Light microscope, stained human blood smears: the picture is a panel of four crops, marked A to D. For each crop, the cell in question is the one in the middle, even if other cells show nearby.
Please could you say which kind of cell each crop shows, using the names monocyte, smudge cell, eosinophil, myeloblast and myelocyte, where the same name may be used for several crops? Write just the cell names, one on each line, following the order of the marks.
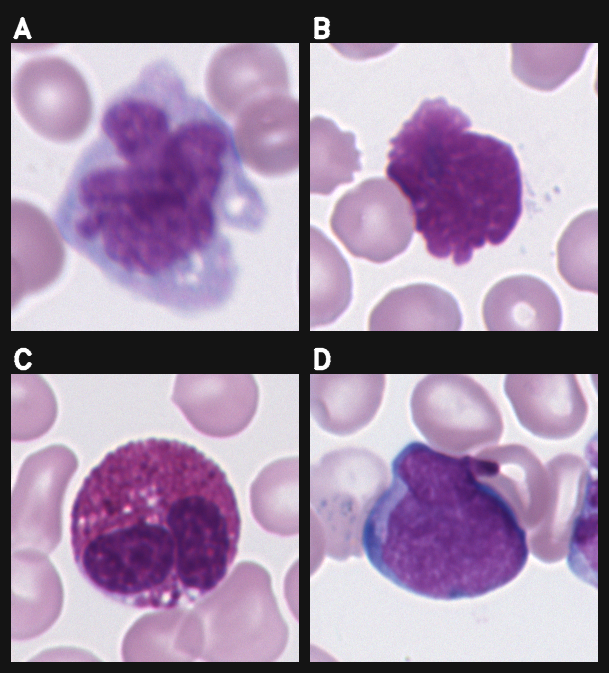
monocyte
smudge cell
eosinophil
myeloblast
